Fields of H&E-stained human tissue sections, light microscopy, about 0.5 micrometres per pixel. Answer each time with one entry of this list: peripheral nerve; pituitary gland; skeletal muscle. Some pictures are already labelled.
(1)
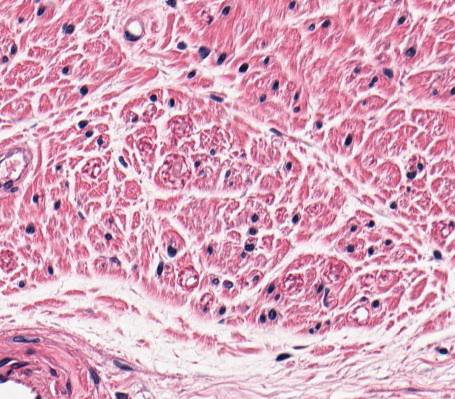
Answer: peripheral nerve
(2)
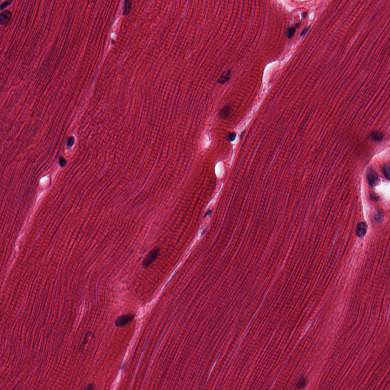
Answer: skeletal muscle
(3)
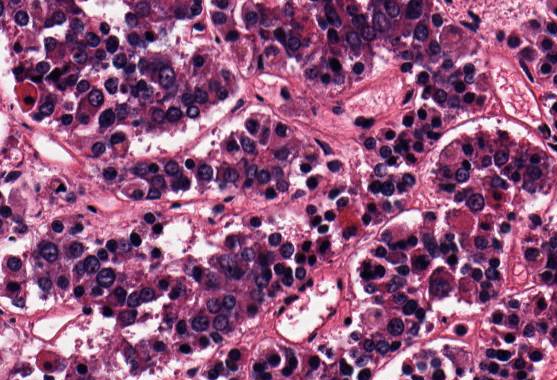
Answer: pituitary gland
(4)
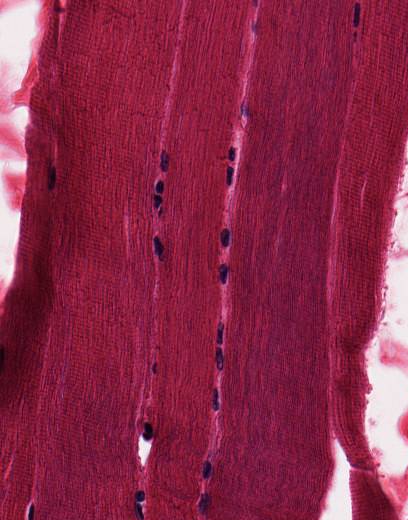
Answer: skeletal muscle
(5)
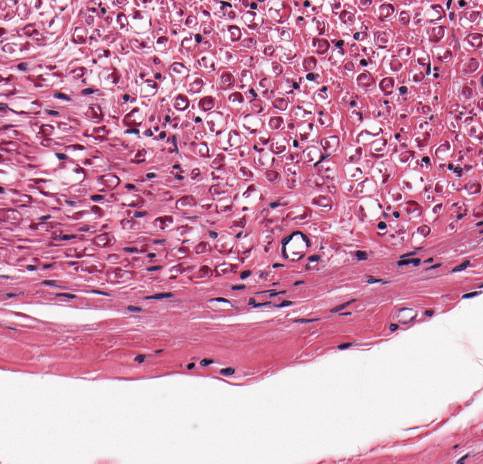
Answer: peripheral nerve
